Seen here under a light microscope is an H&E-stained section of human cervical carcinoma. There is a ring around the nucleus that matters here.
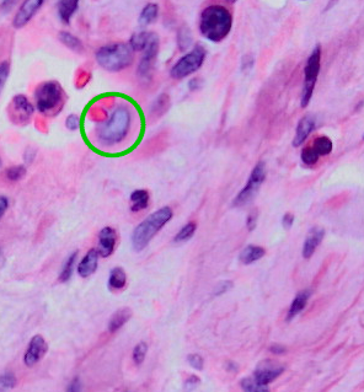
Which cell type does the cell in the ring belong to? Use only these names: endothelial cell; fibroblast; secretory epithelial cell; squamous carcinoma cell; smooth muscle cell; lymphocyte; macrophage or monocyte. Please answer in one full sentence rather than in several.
It is as an endothelial cell that the cell in the ring is recorded.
